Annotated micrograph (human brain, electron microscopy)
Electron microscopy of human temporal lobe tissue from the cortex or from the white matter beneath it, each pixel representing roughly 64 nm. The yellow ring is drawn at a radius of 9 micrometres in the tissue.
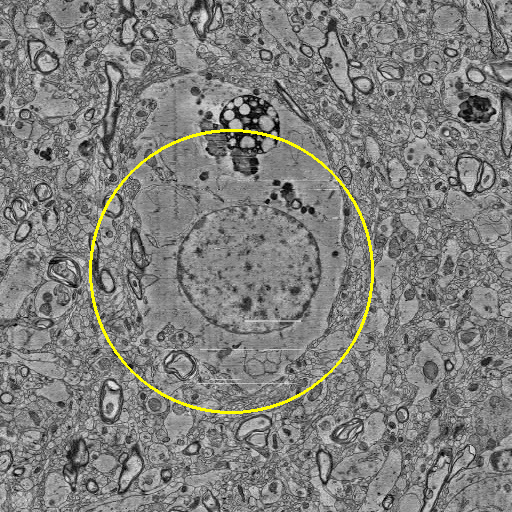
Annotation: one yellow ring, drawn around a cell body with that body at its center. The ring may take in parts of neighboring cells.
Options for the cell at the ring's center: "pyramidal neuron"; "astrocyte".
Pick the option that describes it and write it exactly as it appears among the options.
astrocyte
